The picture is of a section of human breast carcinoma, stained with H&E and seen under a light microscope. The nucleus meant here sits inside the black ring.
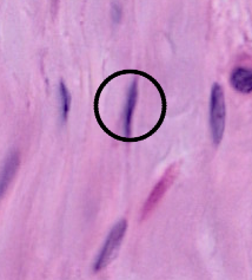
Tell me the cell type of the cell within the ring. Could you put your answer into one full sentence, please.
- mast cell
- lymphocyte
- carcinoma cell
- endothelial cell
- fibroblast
In short, the cell within the ring on this section is a fibroblast.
